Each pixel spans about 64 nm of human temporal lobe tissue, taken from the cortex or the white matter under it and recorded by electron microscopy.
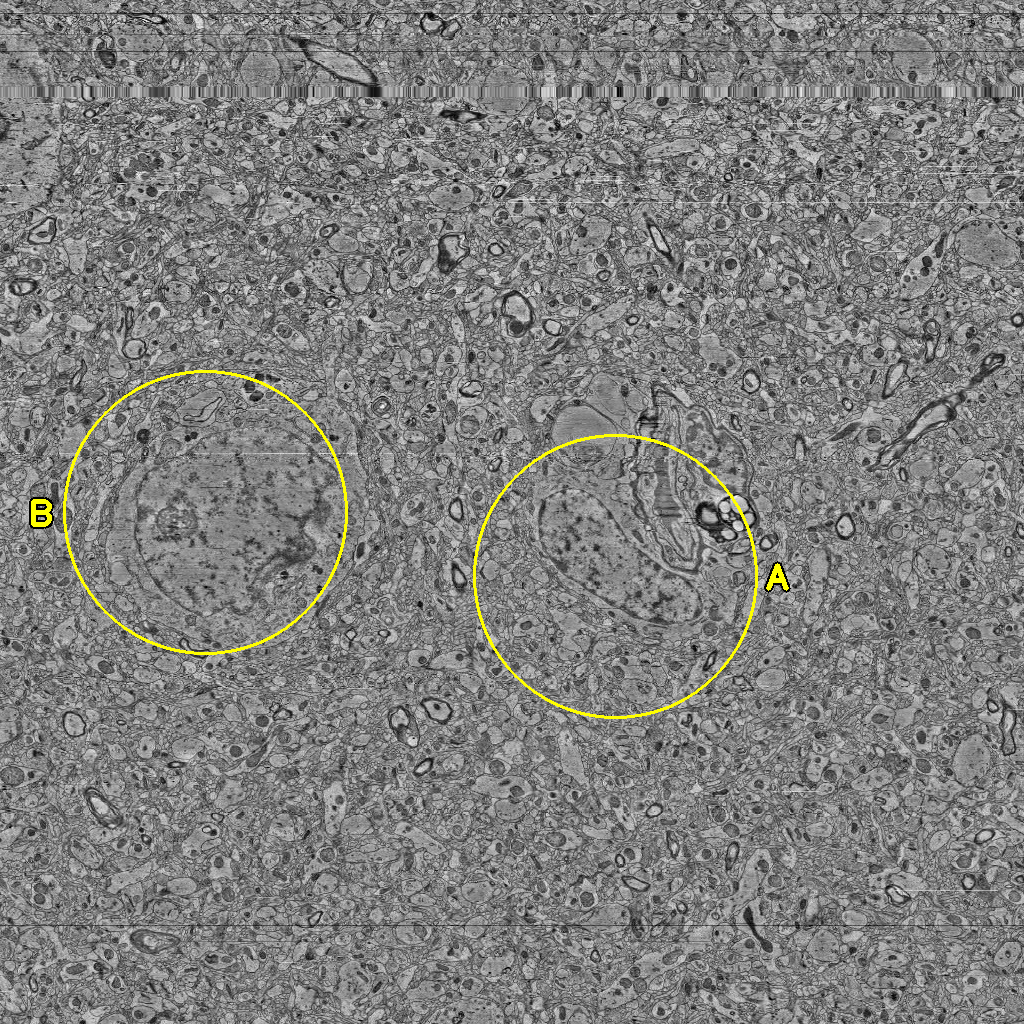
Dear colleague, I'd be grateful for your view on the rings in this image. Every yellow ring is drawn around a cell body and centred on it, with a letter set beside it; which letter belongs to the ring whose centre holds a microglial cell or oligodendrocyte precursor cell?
A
